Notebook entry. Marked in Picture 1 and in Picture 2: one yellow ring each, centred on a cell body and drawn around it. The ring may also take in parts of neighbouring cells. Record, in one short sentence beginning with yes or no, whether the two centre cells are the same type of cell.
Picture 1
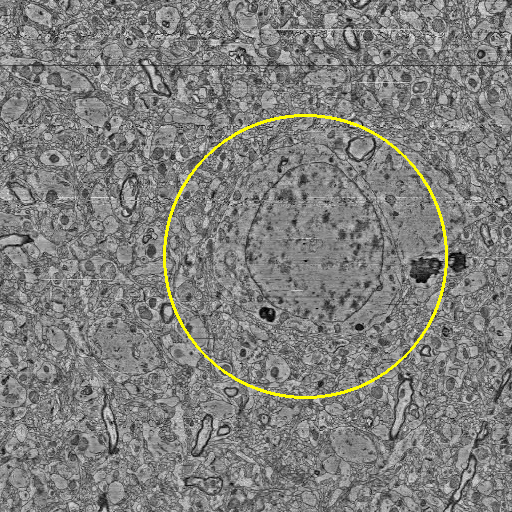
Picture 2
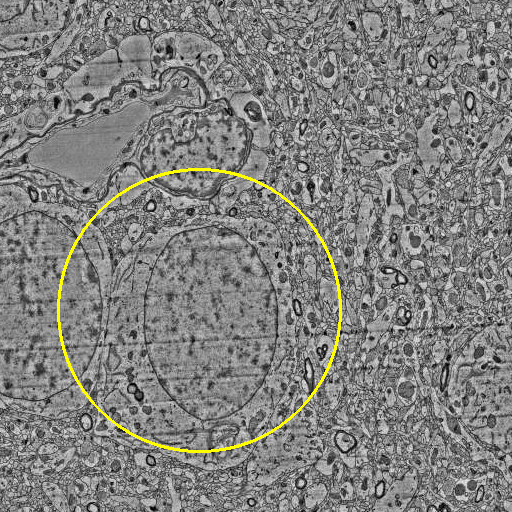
Yes, both are the same type of cell.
